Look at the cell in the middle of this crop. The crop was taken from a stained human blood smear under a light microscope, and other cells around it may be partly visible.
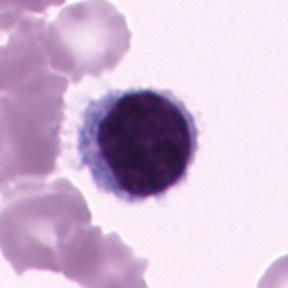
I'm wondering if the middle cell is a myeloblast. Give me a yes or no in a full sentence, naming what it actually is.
No, instead of being a myeloblast, the middle cell is a hairy cell.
